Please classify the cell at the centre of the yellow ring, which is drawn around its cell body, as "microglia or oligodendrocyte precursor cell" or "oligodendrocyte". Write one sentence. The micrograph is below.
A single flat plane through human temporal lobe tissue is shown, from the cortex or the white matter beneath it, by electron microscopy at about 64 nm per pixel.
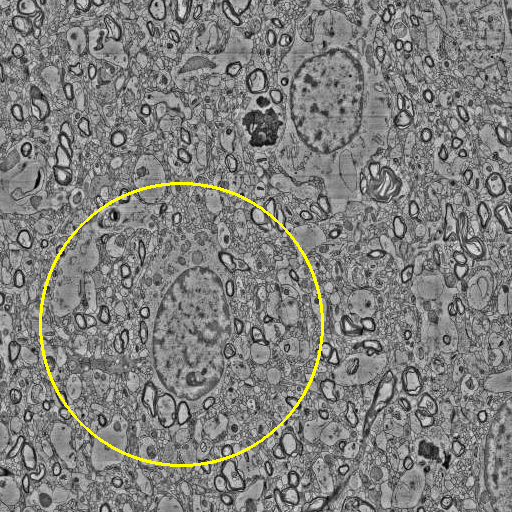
The cell at the ring's centre is classified as an oligodendrocyte.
